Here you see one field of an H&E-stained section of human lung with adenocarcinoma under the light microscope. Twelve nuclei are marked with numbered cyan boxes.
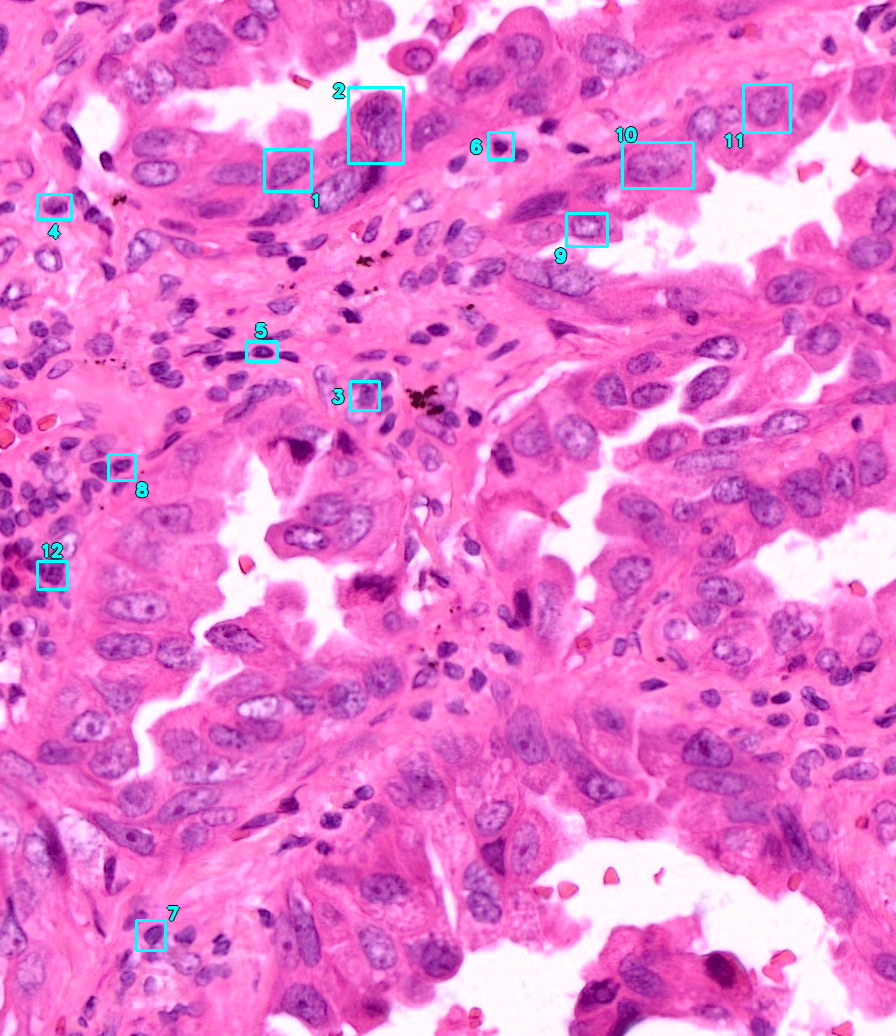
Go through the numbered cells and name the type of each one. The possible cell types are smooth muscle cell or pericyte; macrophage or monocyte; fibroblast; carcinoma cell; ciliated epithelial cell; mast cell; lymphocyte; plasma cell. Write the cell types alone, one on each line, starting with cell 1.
carcinoma cell
carcinoma cell
lymphocyte
lymphocyte
lymphocyte
lymphocyte
lymphocyte
lymphocyte
carcinoma cell
carcinoma cell
carcinoma cell
lymphocyte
